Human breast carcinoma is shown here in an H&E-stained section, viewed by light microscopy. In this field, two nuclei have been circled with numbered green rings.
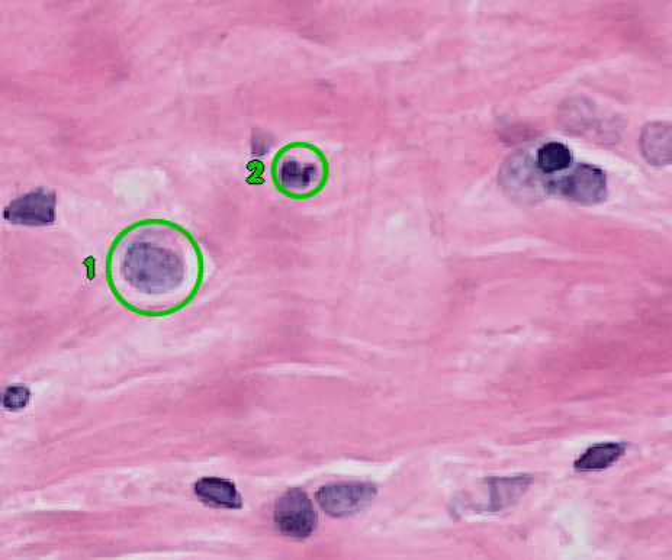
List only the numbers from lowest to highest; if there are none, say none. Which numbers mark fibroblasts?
1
